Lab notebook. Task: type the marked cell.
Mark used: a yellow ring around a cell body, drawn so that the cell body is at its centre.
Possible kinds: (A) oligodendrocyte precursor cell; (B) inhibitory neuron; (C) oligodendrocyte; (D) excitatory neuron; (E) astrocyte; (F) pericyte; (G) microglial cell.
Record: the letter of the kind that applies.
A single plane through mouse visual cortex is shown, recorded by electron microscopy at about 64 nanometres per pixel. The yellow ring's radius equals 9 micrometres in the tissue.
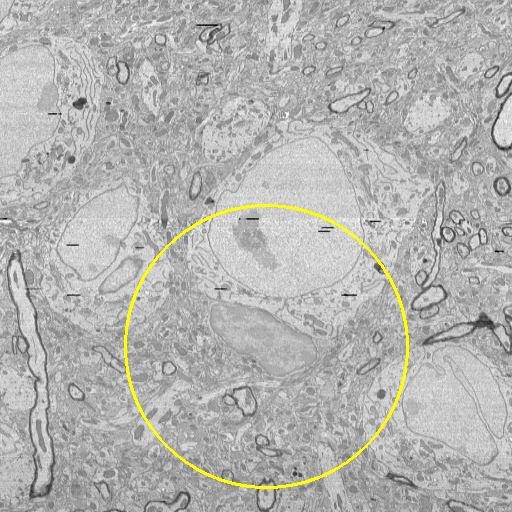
G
